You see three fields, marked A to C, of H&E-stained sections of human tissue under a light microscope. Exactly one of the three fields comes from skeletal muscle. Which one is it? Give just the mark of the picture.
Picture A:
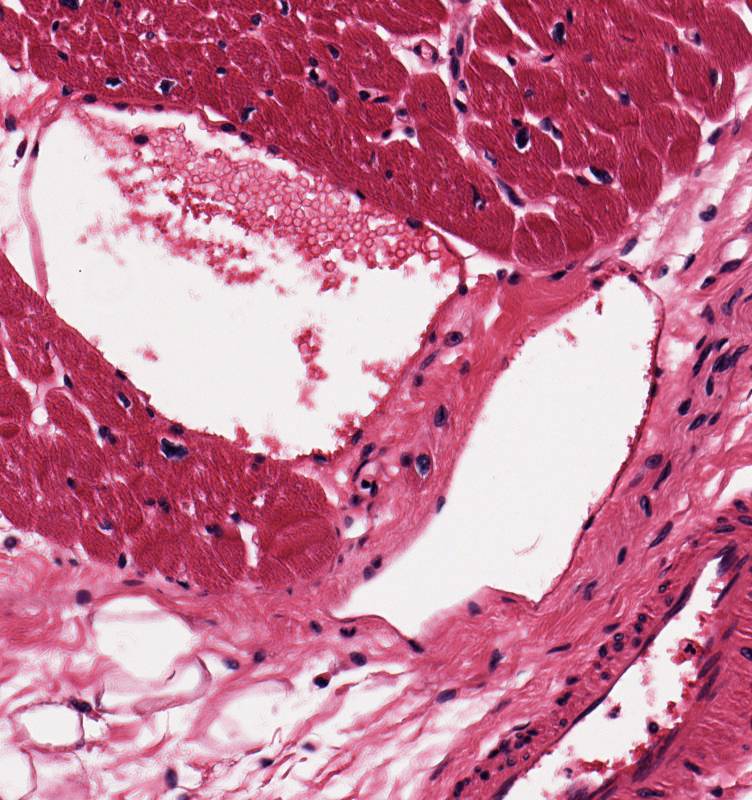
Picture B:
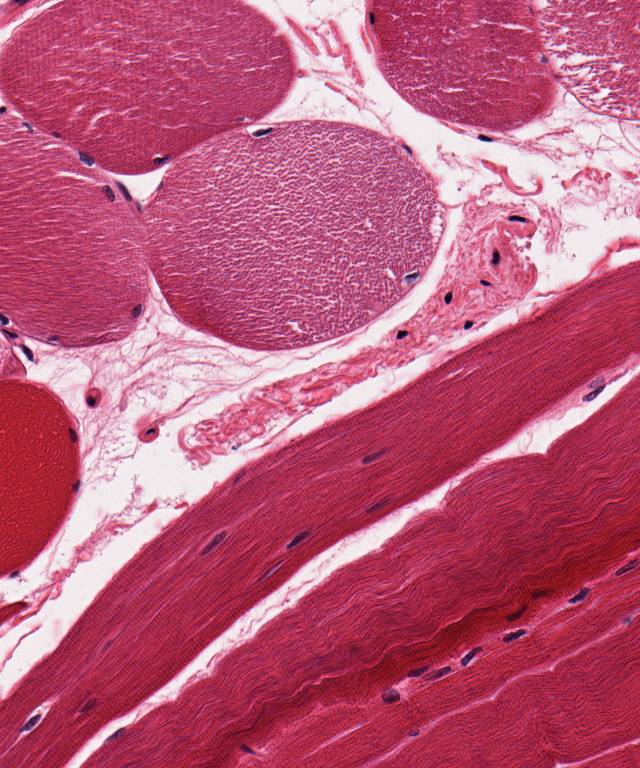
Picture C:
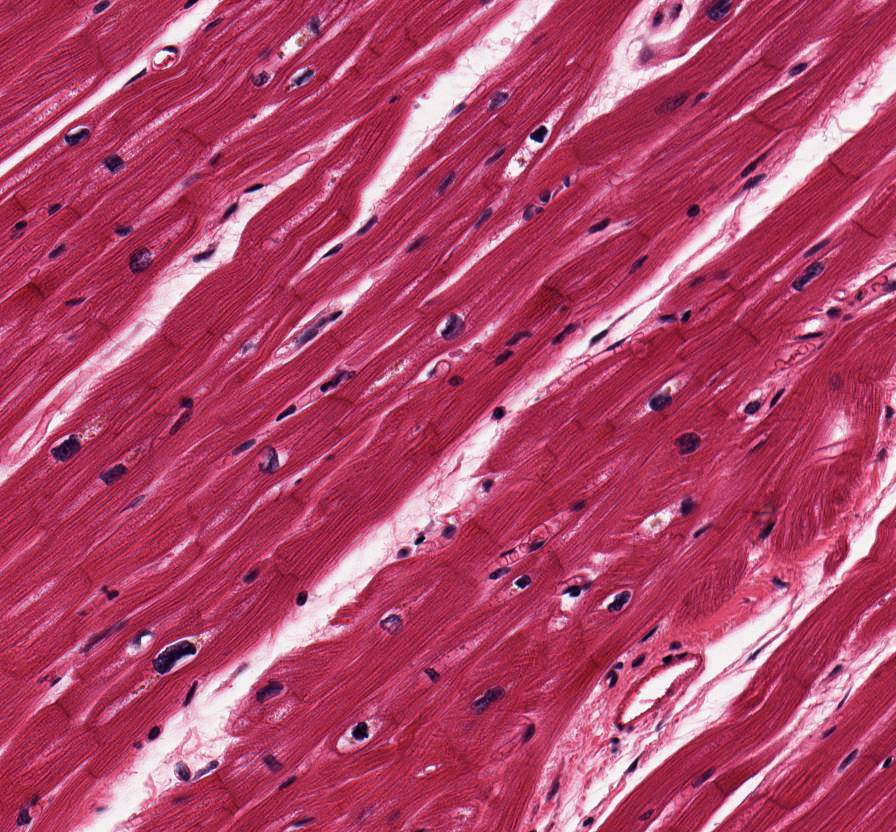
B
